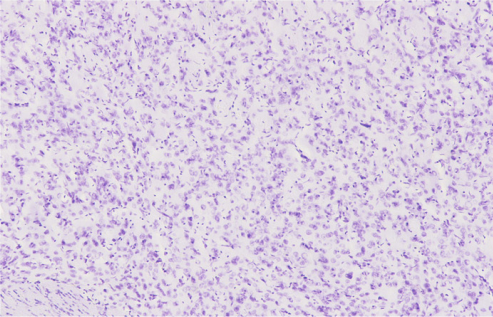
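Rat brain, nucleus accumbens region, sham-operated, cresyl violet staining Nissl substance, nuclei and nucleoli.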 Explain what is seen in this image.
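The field is filled with fairly evenly scattered neurons of similar, medium size. Between the cells lies pale, finely textured neuropil. Toward the lower left, paler streaks of passing fibre bundles run across the field.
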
